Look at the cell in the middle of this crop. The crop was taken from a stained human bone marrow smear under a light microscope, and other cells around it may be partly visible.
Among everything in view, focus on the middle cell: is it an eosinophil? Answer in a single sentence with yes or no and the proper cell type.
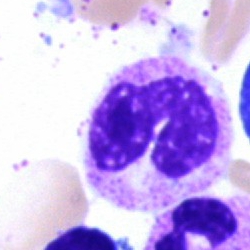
No, the cell at the centre is categorised not as an eosinophil but as a band neutrophil.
